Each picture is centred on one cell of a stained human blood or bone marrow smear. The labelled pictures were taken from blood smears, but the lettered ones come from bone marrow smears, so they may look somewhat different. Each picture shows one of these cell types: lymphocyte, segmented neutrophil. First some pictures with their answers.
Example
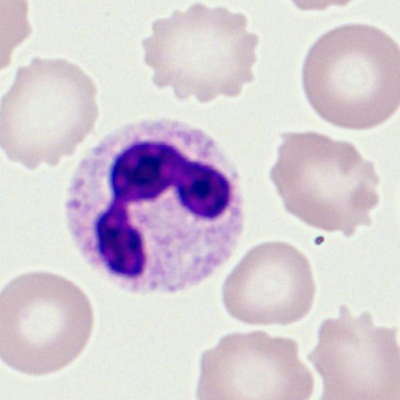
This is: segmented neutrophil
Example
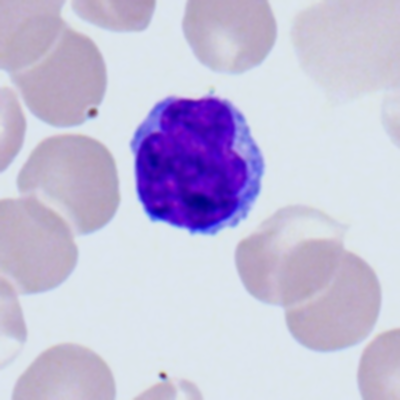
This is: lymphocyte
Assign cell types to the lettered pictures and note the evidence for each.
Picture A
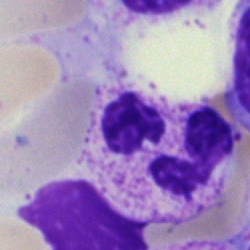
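segmented neutrophil. Fine pink-purple granules are scattered throughout the cytoplasm.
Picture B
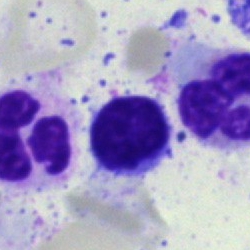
lymphocyte. The cytoplasm forms only a thin rim around the nucleus.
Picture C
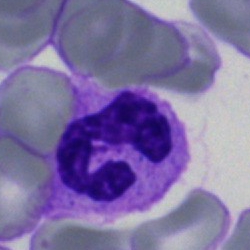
segmented neutrophil. The nucleus is bent into a thick horseshoe that curves around a paler central area.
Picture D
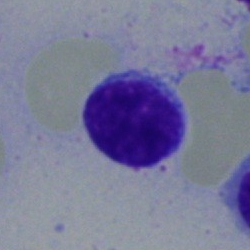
lymphocyte. The nucleus fills almost the whole cell, leaving very little cytoplasm.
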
